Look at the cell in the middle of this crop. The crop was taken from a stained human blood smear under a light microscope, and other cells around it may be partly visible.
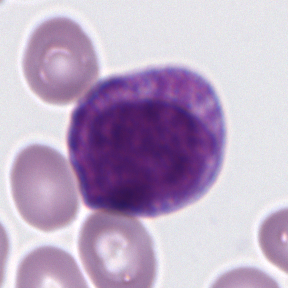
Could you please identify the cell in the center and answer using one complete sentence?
Here the centrally located cell is an atypical promyelocyte.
